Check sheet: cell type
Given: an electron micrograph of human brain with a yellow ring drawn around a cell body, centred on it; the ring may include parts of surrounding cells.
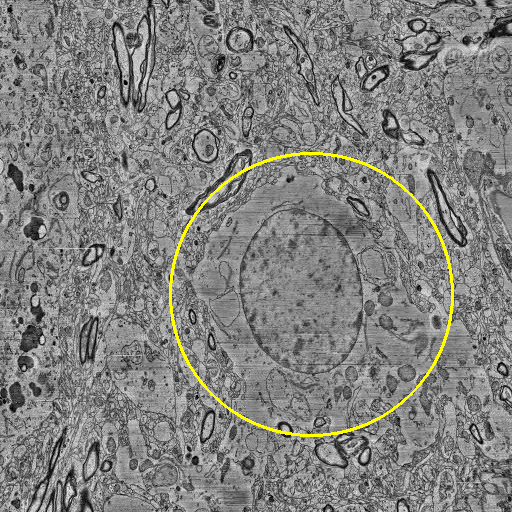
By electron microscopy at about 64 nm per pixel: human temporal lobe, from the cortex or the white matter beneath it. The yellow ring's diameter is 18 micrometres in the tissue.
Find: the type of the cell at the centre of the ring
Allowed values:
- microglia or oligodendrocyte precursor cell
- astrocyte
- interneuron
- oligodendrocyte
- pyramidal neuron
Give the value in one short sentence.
Here the ringed cell is an astrocyte.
